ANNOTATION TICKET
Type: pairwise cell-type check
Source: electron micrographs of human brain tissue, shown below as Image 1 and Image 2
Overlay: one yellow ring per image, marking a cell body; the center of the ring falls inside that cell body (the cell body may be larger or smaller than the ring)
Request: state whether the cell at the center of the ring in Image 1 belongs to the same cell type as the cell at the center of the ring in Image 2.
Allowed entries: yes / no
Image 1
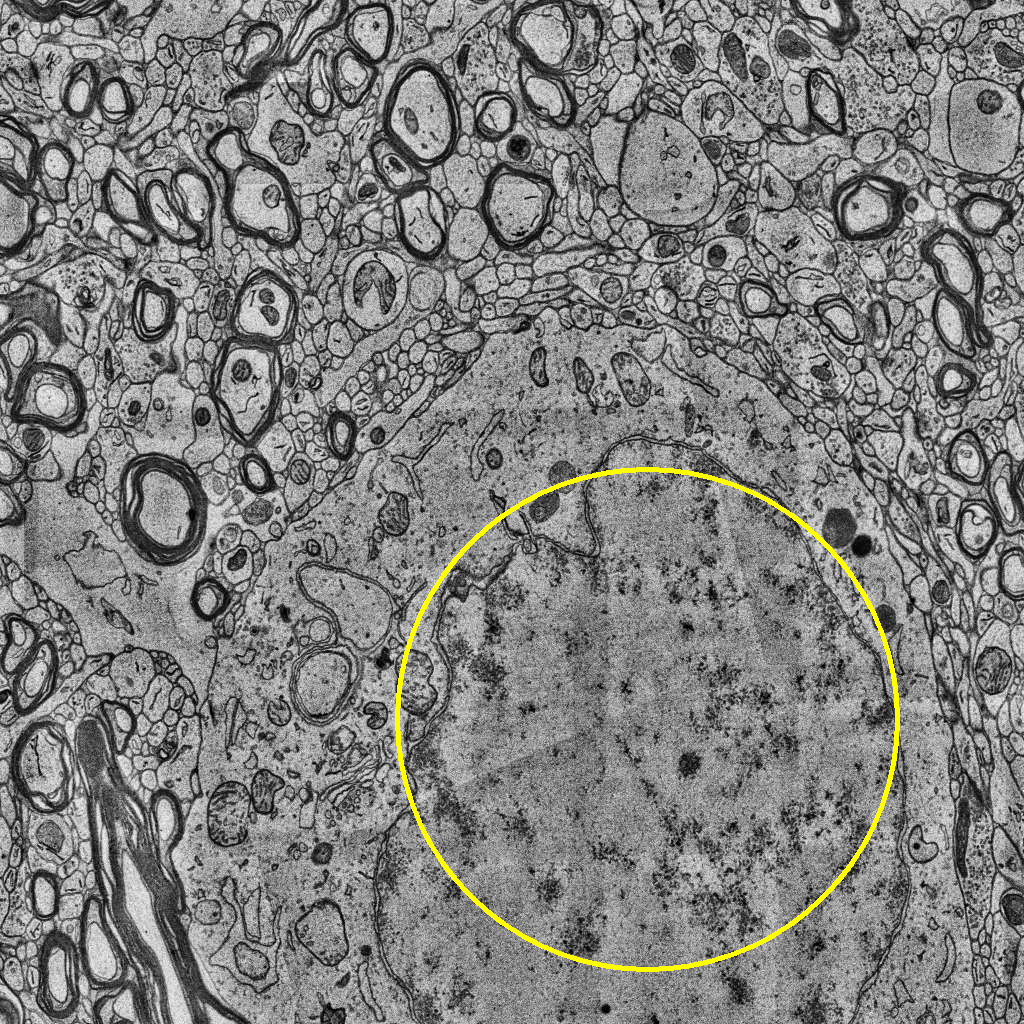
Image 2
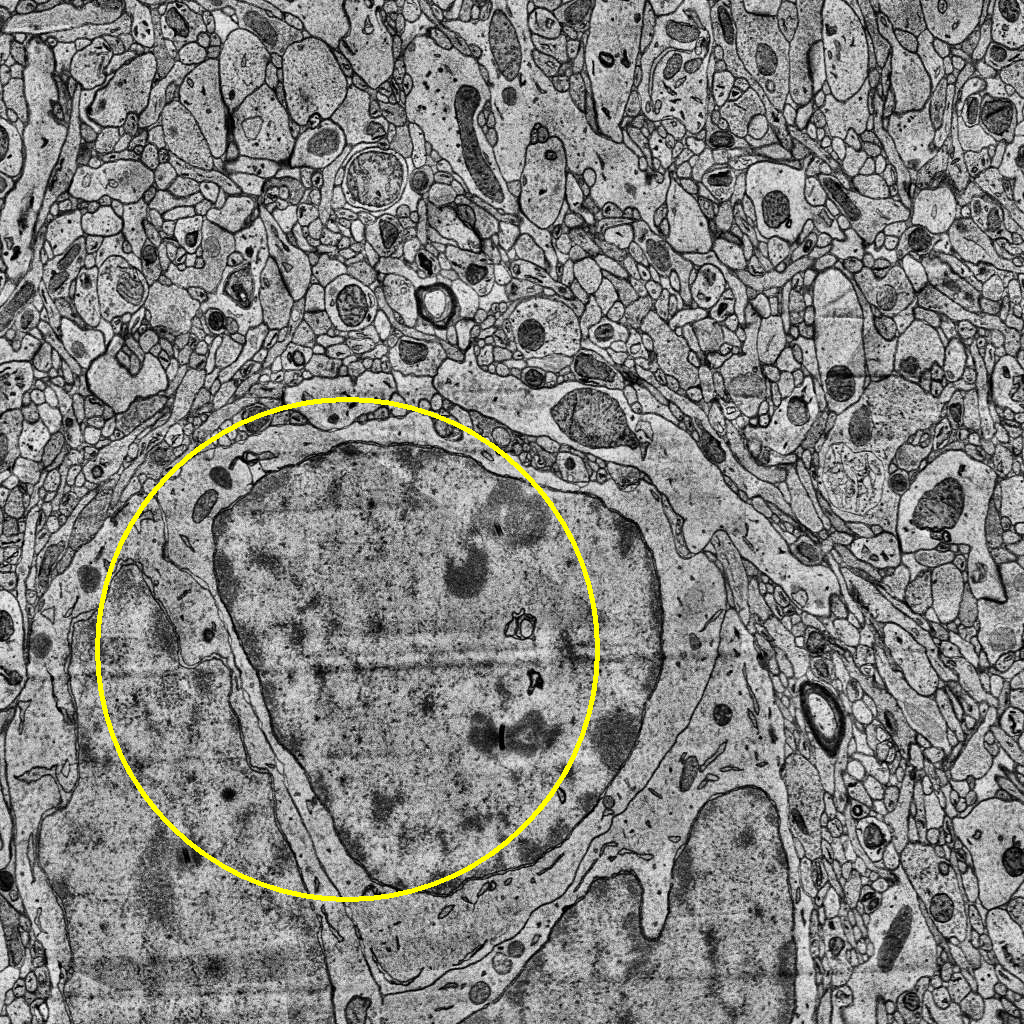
no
